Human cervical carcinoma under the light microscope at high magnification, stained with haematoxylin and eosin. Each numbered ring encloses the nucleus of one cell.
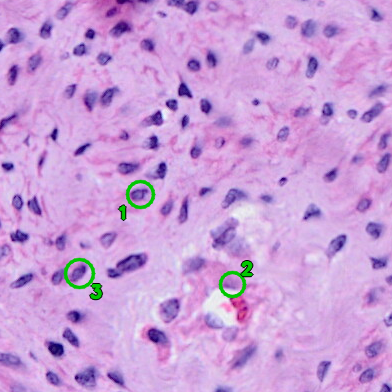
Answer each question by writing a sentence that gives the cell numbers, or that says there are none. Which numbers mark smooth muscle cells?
Within this tissue, the cells numbered 1 and 3 are smooth muscle cells.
